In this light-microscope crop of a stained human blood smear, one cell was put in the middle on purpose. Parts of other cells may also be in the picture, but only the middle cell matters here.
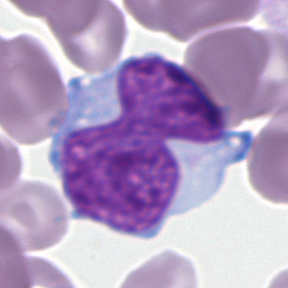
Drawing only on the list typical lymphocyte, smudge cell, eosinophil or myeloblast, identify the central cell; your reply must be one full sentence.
In the middle of this smear crop is a myeloblast.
